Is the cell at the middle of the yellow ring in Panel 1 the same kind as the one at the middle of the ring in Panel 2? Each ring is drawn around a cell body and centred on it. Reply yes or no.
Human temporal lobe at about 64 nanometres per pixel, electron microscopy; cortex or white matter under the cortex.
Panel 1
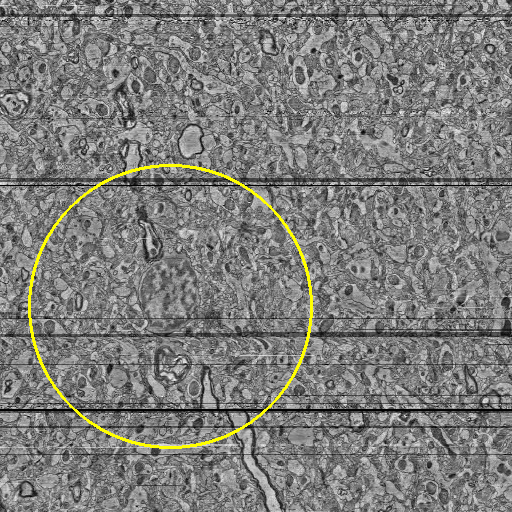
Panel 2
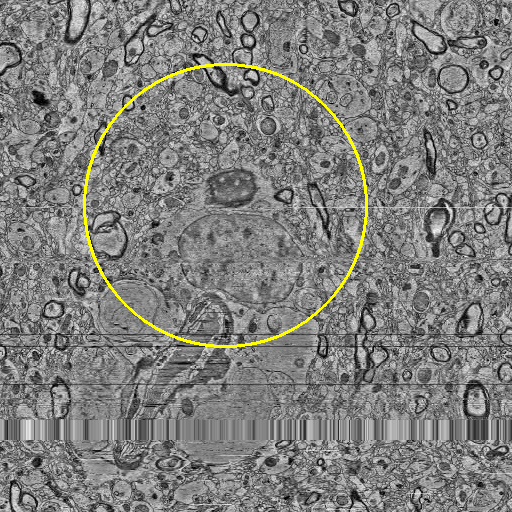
yes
